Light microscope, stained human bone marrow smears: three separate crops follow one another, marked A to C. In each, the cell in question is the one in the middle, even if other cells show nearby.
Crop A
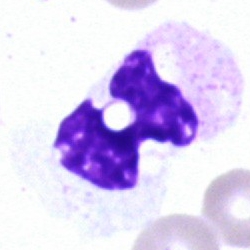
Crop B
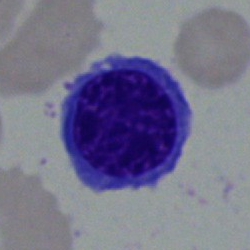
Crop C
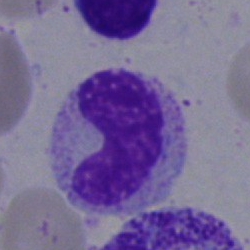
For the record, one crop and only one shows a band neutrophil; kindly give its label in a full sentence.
Of all the crops, crop C is the one showing a band neutrophil.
